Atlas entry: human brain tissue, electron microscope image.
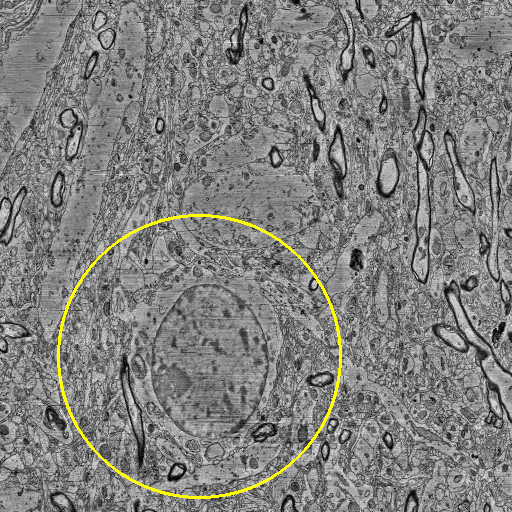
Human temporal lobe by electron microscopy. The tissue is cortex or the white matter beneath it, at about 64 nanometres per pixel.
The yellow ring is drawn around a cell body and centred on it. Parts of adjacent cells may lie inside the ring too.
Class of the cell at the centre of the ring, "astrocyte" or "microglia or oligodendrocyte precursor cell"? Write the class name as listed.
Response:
astrocyte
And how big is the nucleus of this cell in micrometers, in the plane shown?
Roughly 11 micrometres by 7 micrometres, in this plane.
